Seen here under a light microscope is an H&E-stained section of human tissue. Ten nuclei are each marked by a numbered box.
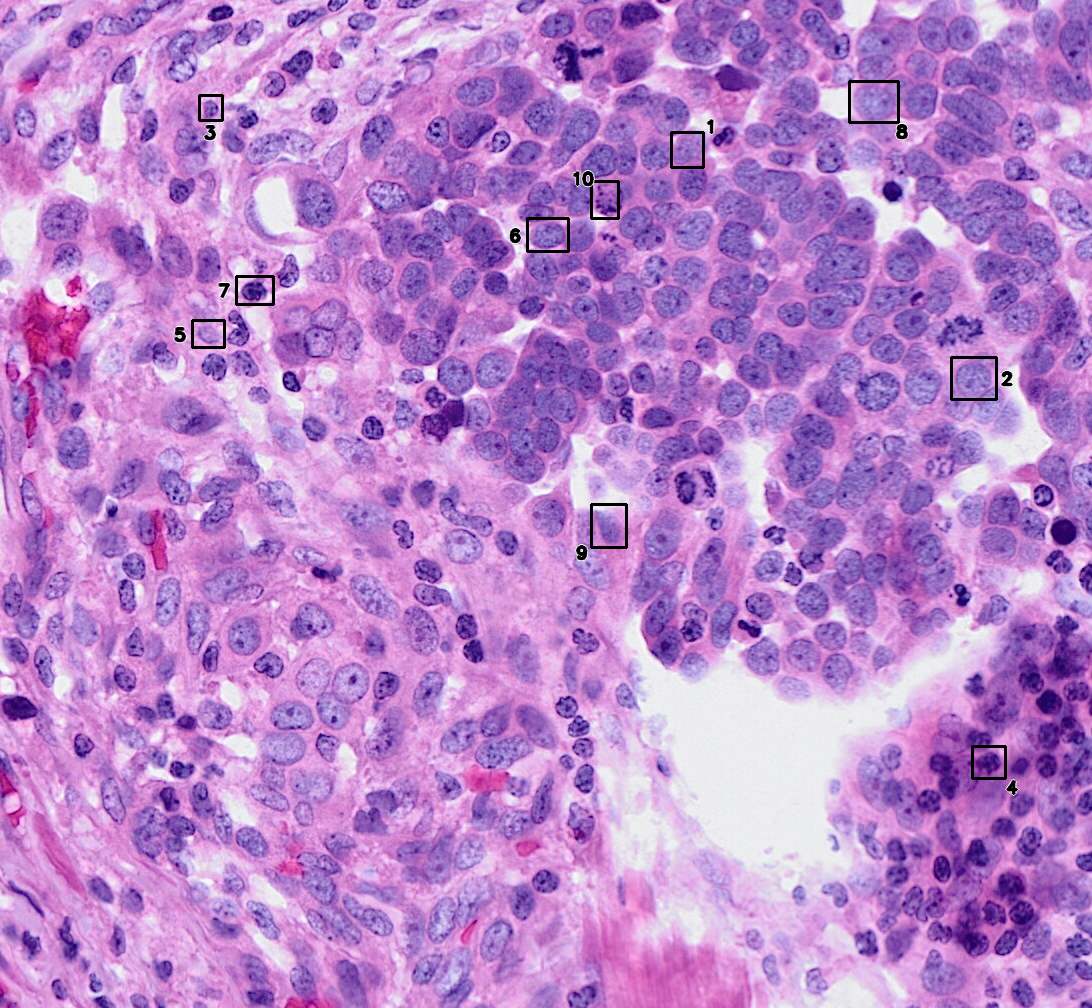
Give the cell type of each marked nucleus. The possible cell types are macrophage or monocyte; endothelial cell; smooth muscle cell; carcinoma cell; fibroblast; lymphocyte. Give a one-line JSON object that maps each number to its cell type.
{"1": "carcinoma cell", "2": "carcinoma cell", "3": "lymphocyte", "4": "lymphocyte", "5": "macrophage or monocyte", "6": "carcinoma cell", "7": "lymphocyte", "8": "carcinoma cell", "9": "carcinoma cell", "10": "carcinoma cell"}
